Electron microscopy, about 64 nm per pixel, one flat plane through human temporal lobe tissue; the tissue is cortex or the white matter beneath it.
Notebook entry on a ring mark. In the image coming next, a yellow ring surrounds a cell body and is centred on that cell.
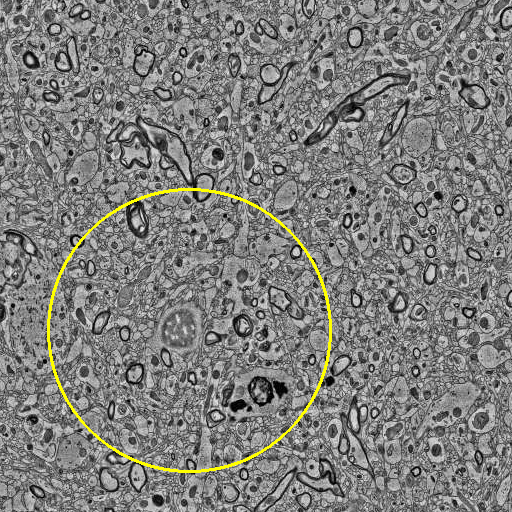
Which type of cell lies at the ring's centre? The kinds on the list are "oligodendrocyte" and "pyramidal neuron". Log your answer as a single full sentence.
Centred in the yellow ring is an oligodendrocyte, the cell recorded for this image.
